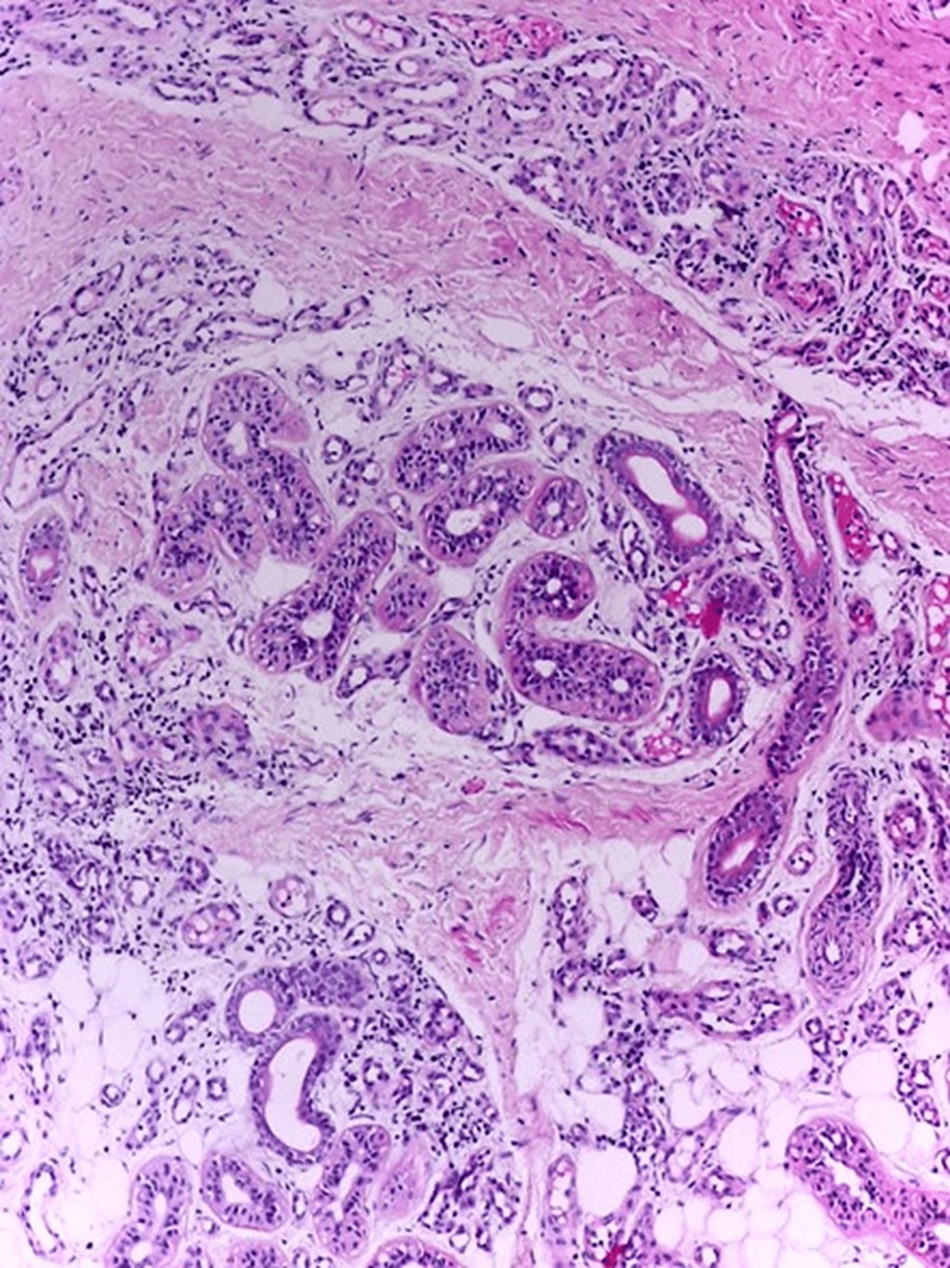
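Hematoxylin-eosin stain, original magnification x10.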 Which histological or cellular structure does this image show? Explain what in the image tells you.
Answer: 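Many closely packed coiled tubules cut in cross and oblique section. Tubules lined by cuboidal epithelial cells with round dark nuclei around small central lumens. Larger ductal profiles with two-layered epithelium and open lumens. That points to this answer: eccrine glands.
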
